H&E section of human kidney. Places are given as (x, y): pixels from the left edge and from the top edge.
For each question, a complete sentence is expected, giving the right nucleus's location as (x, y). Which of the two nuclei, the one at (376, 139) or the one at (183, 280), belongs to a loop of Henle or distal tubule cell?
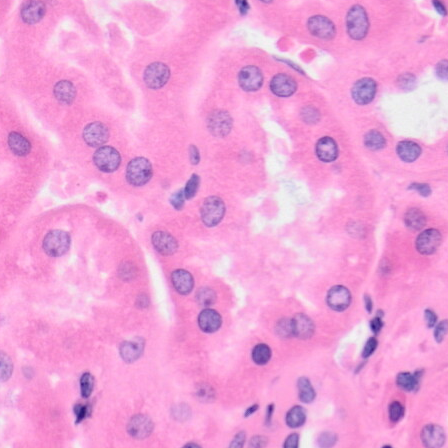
The nucleus at (376, 139) is the one of the two that belongs to a loop of Henle or distal tubule cell.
